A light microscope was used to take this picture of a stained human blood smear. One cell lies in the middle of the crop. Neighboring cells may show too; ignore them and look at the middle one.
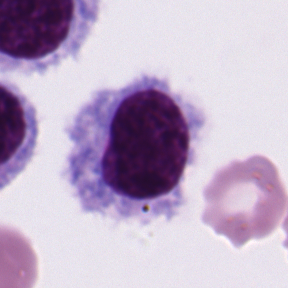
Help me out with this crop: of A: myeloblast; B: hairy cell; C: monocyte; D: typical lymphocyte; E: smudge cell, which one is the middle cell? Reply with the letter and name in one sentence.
The cell in the middle is a hairy cell, so option B is correct.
